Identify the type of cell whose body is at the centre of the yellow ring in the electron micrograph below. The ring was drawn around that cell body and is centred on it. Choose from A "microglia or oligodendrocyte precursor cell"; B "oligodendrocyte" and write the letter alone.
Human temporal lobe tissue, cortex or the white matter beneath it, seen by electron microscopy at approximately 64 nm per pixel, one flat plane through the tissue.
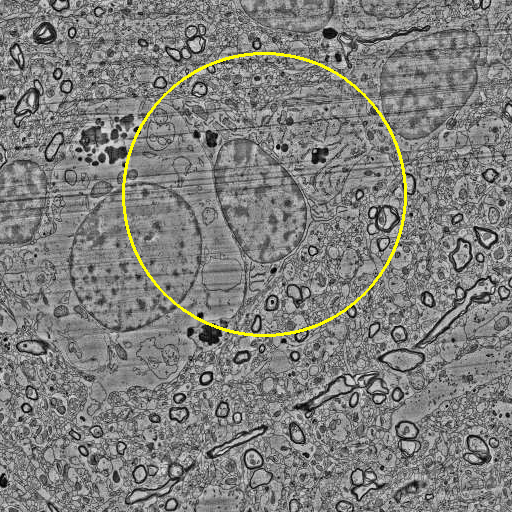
A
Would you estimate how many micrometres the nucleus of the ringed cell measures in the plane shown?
In this plane, about 8 by 5 micrometres: the nucleus is clearly longer than it is wide.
